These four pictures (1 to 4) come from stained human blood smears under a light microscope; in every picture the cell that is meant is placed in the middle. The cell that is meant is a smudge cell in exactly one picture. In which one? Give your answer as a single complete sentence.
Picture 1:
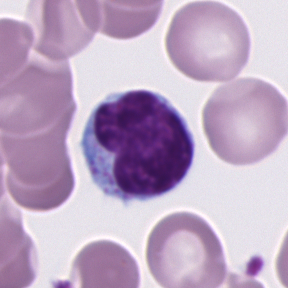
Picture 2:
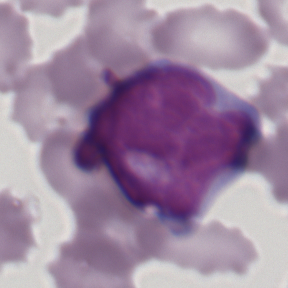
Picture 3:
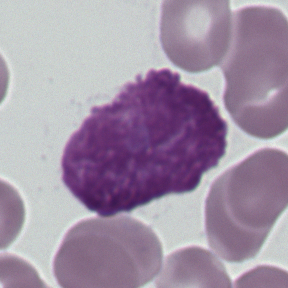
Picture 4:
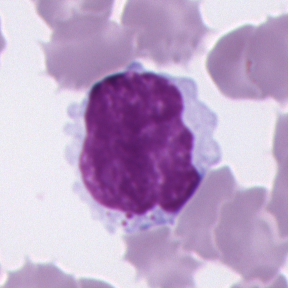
Picture 3 shows the smudge cell.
